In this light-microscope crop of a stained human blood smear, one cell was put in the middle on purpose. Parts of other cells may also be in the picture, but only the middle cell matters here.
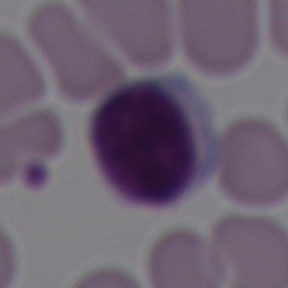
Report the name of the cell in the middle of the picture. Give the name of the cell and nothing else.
typical lymphocyte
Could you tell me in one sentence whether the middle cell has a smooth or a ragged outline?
Smooth all around, the outline has no projections to report.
